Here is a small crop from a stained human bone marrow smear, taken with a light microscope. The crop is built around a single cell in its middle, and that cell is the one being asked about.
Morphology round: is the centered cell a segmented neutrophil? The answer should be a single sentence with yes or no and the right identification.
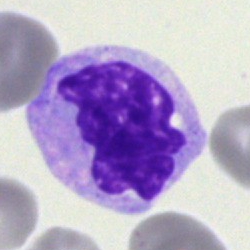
No, the cell in the middle of the field is a monocyte, not a segmented neutrophil as suggested.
